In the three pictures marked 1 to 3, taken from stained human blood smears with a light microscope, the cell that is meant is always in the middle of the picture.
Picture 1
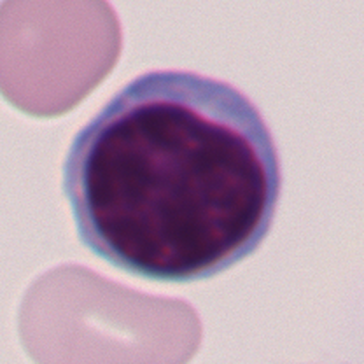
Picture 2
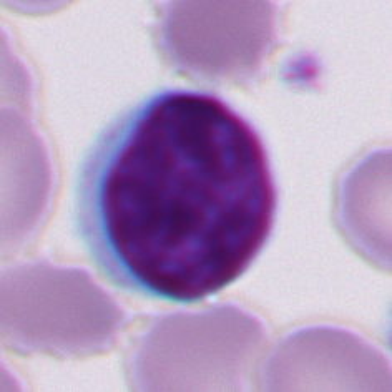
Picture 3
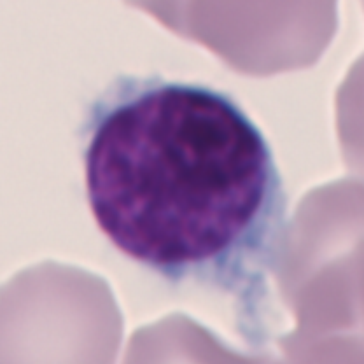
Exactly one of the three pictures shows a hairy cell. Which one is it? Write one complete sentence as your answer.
The cell in picture 3 is the hairy cell.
